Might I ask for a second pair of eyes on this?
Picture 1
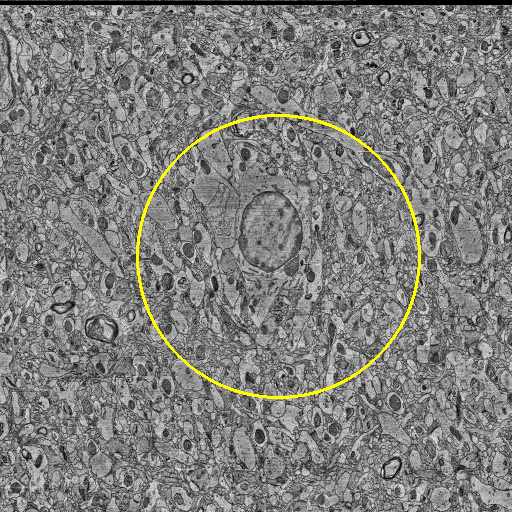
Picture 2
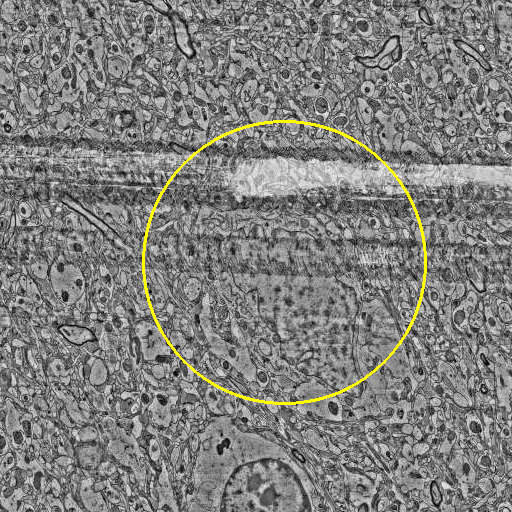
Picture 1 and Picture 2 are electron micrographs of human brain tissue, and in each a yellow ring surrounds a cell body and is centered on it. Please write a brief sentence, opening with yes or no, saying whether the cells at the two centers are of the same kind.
No, the cells are of two kinds.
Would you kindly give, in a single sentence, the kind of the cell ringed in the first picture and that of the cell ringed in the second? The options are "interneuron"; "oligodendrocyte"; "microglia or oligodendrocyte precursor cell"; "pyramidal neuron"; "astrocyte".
The second cell is an interneuron, and the first cell is a microglial cell or oligodendrocyte precursor cell.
